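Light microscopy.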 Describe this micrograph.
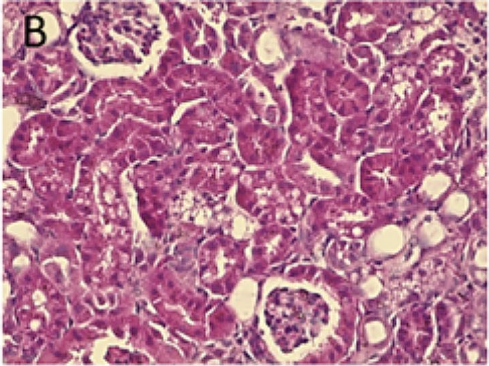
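This is kidney cortex with tubules whose epithelial cells show vacuolization of the cytoplasm. In several tubules near the centre, the lining cells have pale, foamy cytoplasm filled with small clear vacuoles. Other tubules keep cells with dense pink granular cytoplasm and small round nuclei. A glomerulus, a rounded tuft surrounded by a clear space inside its capsule, lies in the lower part of the field, with another at the top. Some tubules toward the right have round, empty-looking, widened lumens.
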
